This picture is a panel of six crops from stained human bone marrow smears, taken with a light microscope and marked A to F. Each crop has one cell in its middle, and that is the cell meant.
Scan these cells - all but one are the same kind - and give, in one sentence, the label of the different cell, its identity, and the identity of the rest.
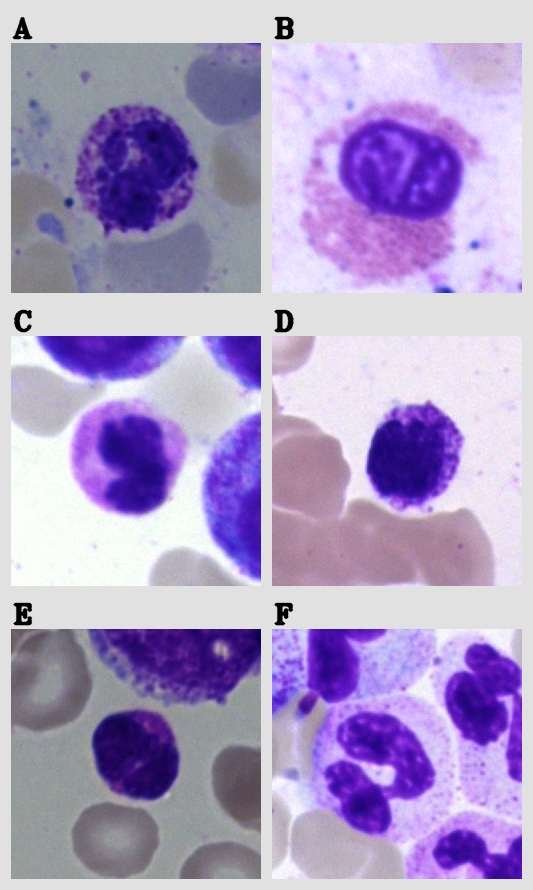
Unlike the rest, which all show basophils, crop F contains a segmented neutrophil.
